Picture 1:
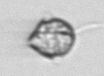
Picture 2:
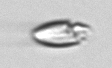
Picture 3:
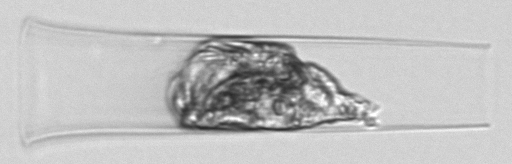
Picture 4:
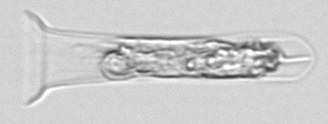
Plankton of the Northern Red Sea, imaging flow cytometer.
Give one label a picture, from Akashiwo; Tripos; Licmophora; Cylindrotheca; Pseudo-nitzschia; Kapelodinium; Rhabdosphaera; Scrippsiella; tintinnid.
1: Scrippsiella
2: Kapelodinium
3: tintinnid
4: tintinnid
